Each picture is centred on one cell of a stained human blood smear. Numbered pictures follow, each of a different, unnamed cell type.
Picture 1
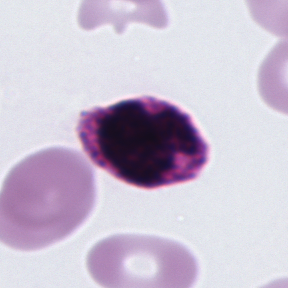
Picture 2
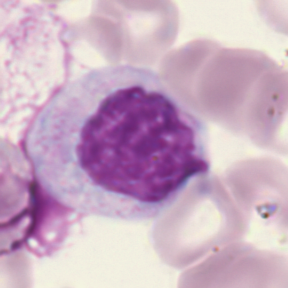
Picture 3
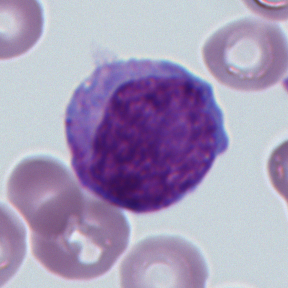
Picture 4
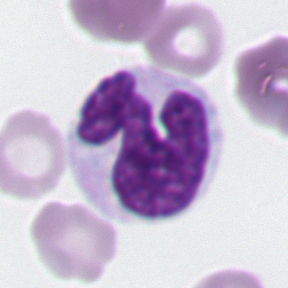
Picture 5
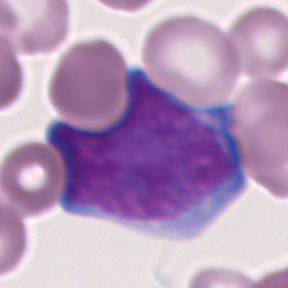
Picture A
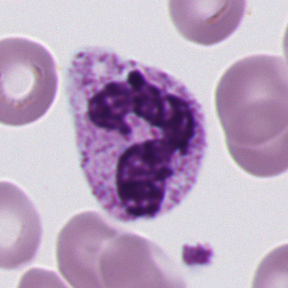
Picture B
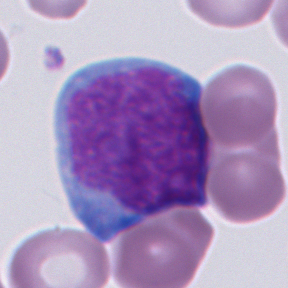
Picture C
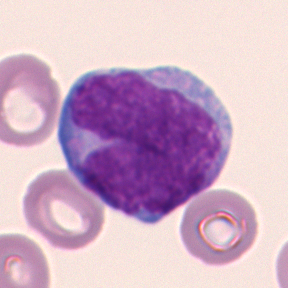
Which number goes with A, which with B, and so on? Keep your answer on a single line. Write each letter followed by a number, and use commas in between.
A 4, B 5, C 3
